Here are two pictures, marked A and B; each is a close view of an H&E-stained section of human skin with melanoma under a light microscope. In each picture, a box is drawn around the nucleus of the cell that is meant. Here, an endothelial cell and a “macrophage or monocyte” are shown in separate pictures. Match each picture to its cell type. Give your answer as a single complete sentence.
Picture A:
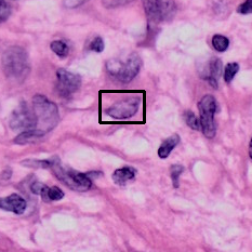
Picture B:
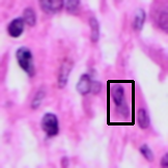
In picture A the cell is an endothelial cell; in picture B, a “macrophage or monocyte”.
